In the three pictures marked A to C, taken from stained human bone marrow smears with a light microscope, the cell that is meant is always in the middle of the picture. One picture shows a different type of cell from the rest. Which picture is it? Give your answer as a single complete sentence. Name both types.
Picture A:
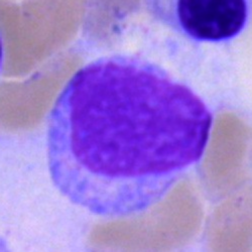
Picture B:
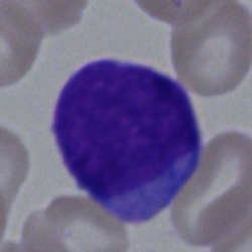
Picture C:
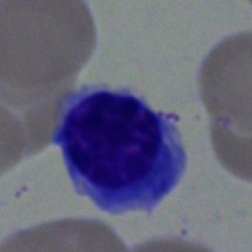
Picture C differs, because its cell is an erythroblast and the rest are blasts.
